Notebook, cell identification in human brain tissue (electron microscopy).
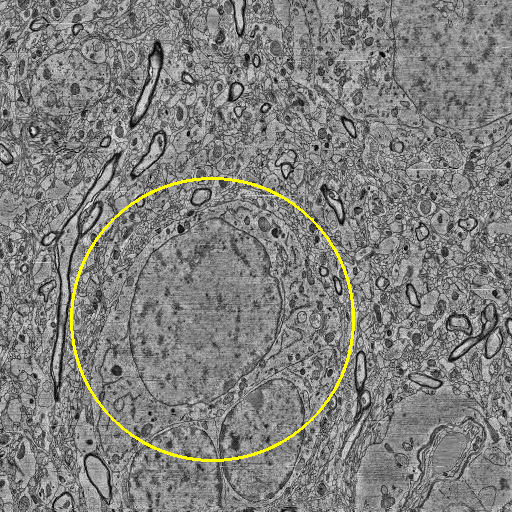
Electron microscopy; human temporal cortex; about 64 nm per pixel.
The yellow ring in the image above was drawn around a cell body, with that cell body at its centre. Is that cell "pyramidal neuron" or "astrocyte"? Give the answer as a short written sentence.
The cell in the ring is a pyramidal neuron.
